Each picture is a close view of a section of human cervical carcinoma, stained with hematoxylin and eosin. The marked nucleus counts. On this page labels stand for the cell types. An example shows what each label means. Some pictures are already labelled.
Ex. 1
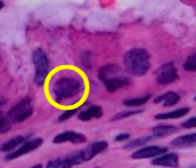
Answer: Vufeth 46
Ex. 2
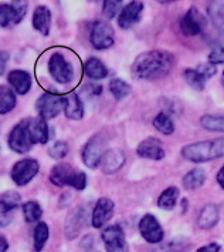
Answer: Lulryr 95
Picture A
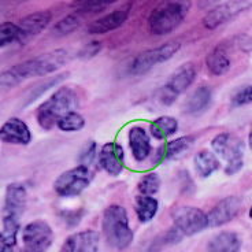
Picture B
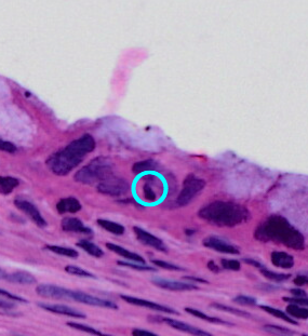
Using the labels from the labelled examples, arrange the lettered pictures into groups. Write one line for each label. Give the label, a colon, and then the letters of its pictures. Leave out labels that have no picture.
Vufeth 46: B
Lulryr 95: A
